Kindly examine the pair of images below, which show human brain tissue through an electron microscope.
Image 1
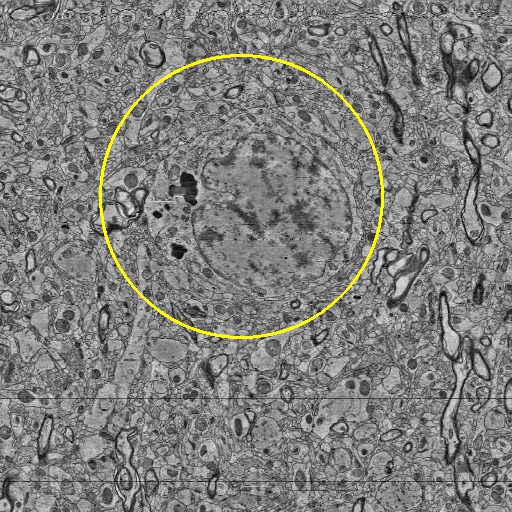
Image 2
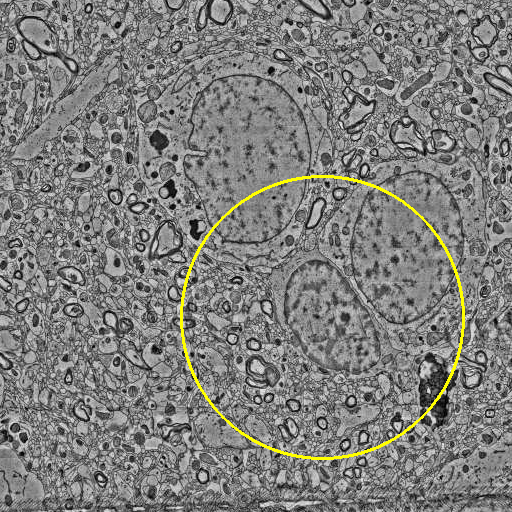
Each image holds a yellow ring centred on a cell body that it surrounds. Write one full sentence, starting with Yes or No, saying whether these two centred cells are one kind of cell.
No, the cells at the centres of the yellow rings belong to two kinds of cell.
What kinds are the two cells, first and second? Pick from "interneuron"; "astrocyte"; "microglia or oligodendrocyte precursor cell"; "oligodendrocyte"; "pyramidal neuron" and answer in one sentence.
The second picture holds an oligodendrocyte in its ring, and the first holds an interneuron.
